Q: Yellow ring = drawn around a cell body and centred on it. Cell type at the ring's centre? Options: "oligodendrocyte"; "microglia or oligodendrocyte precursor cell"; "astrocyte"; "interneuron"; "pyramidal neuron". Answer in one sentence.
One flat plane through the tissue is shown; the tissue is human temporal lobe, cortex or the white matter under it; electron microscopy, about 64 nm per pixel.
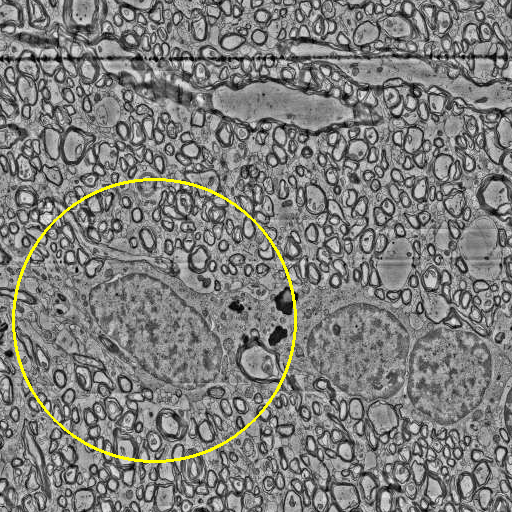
Centred in the ring is an oligodendrocyte.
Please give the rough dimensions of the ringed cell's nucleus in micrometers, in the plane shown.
The nucleus appears roughly 10 by 5 micrometres in this plane.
